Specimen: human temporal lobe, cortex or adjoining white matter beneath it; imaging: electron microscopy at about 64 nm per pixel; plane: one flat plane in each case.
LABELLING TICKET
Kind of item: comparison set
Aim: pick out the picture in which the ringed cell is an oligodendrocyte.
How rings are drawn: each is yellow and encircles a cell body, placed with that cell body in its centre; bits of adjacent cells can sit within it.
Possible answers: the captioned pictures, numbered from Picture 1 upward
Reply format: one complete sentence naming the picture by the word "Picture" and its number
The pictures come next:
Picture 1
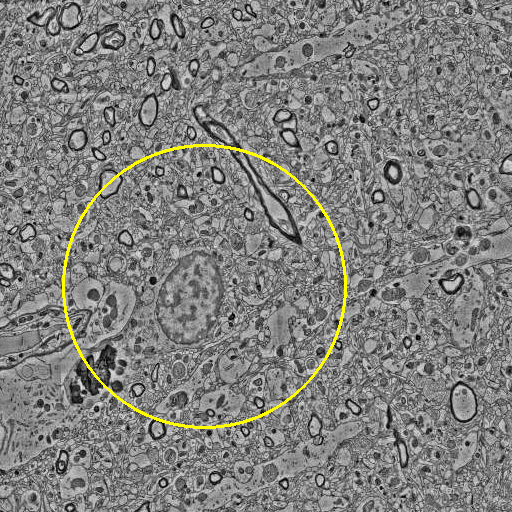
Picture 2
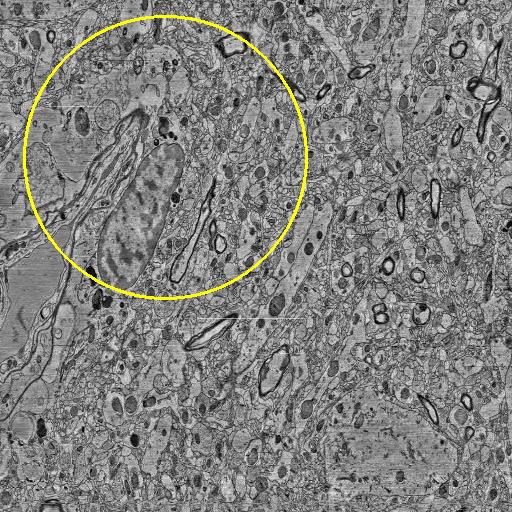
The cell centred inside the yellow ring in Picture 1 is the requested one.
